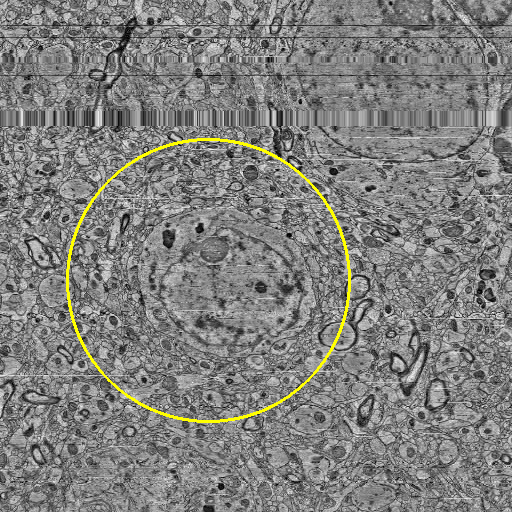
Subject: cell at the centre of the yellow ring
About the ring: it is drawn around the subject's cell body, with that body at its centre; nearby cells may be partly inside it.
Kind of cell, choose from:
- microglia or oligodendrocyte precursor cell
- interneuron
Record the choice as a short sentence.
The subject cell is an interneuron.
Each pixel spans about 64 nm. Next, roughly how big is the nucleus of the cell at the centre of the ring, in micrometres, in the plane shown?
In this plane the nucleus measures roughly 9 by 8 micrometers.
